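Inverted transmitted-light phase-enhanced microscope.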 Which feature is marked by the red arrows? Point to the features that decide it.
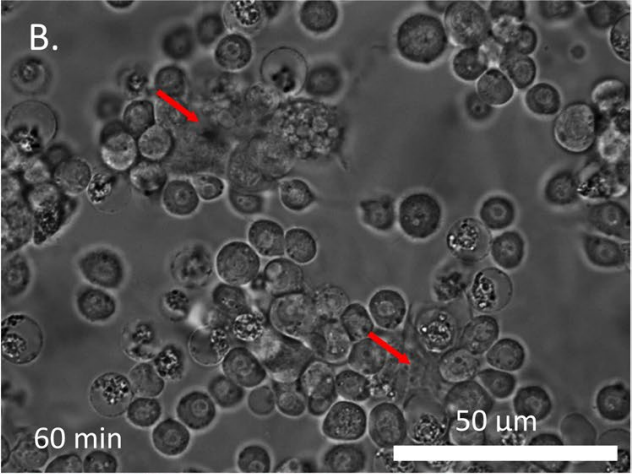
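Amorphous dark grey material. The arrows point to a darker grey, formless material between packed round cells. The material joins neighbouring cells into clusters.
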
